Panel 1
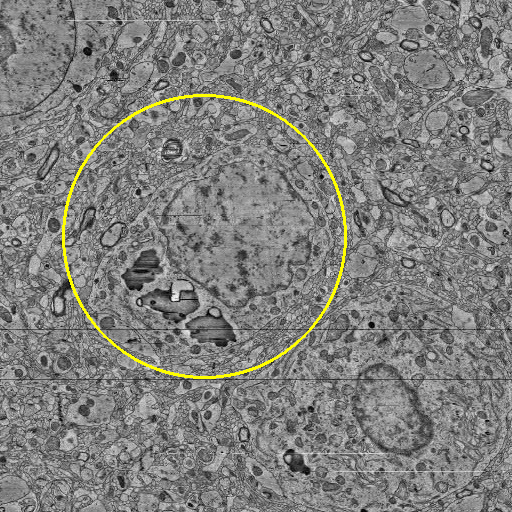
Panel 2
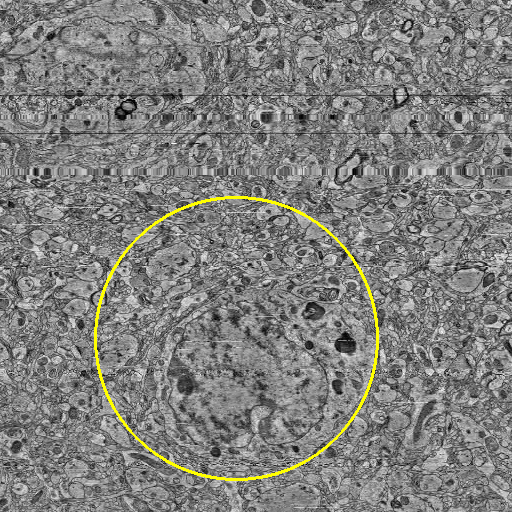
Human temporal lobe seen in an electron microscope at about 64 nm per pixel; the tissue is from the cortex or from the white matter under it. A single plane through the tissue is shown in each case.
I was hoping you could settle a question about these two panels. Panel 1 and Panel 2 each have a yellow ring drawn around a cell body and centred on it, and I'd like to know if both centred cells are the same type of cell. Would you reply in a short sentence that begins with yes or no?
Yes, both are the same type of cell.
